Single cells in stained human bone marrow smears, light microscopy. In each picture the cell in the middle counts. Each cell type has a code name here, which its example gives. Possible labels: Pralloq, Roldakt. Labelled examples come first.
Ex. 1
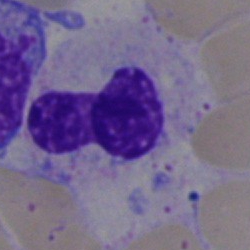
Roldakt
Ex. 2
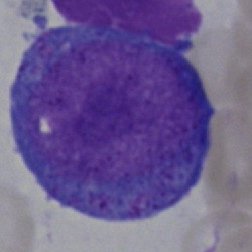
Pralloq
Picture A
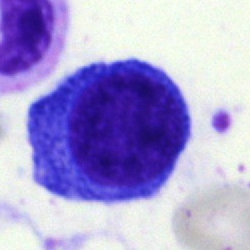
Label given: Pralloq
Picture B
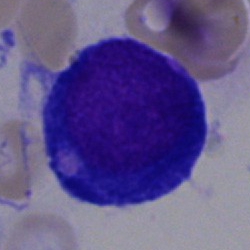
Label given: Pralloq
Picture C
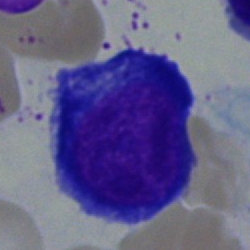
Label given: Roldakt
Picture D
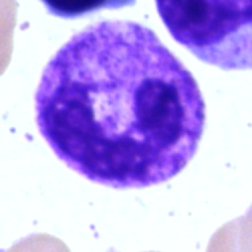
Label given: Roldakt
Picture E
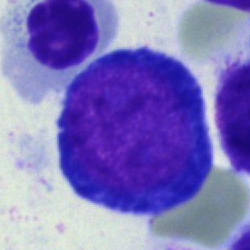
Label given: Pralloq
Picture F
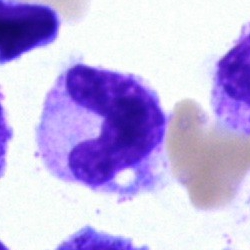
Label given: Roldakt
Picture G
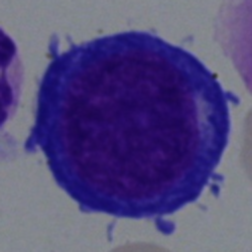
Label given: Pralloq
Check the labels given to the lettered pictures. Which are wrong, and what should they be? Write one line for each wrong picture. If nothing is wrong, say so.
Wrong: C (Roldakt); correct: Pralloq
